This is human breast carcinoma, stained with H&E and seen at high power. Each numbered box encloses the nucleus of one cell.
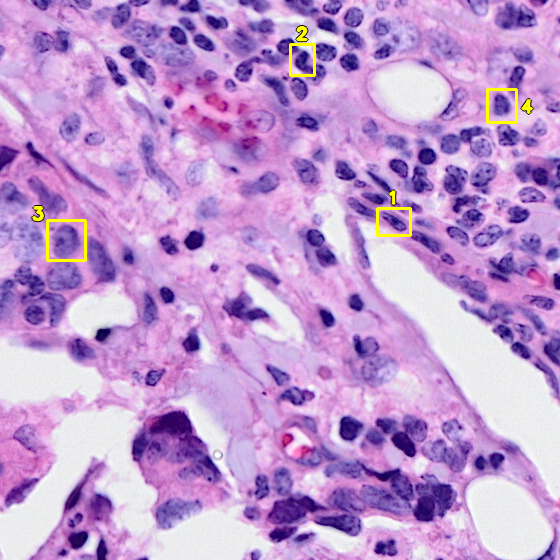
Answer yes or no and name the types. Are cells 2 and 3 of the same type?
No, cell 2 is a lymphocyte and cell 3 is a carcinoma cell.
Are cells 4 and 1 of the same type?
Yes, both are lymphocytes.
